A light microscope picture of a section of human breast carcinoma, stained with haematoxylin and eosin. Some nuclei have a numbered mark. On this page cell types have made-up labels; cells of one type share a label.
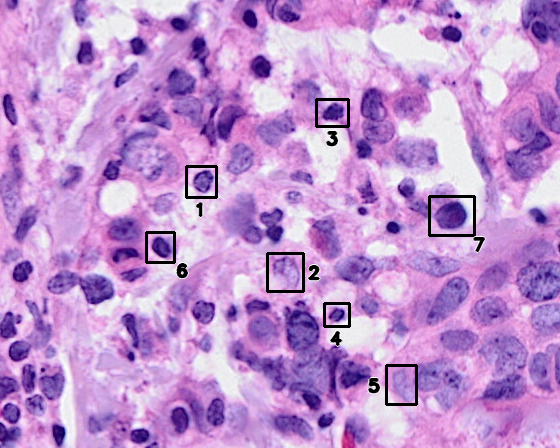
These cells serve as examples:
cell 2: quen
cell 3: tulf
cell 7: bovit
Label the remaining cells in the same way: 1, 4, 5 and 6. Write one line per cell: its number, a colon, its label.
1: tulf
4: tulf
5: bovit
6: tulf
